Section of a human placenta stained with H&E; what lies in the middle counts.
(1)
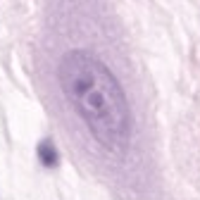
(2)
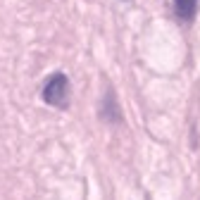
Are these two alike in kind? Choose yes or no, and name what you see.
No. First a maternal decidual cell, second a vascular myocyte.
